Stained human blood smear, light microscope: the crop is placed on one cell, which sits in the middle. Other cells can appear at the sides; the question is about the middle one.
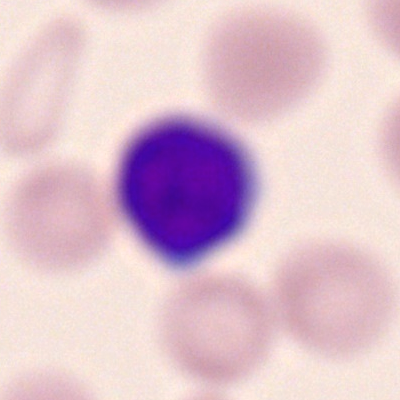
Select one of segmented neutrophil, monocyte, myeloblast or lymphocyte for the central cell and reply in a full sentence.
The cell positioned in the middle of the field is a lymphocyte.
